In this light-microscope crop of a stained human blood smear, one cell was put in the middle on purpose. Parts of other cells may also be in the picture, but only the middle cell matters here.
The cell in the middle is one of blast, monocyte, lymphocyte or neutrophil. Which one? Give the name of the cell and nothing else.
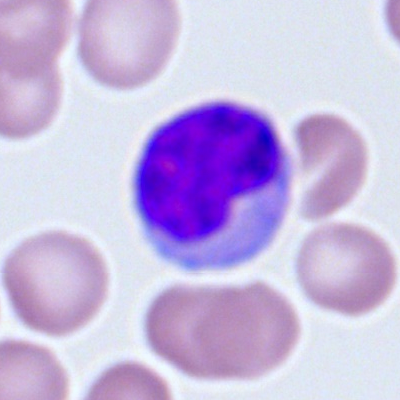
lymphocyte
